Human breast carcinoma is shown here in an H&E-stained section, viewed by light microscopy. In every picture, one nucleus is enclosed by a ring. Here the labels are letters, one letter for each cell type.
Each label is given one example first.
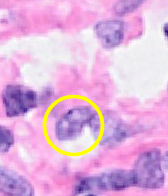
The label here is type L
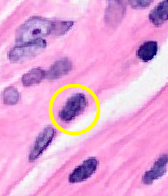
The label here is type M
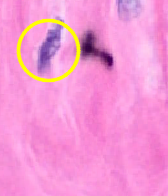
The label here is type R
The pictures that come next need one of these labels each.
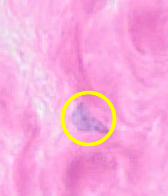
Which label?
type R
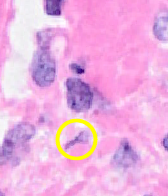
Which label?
type R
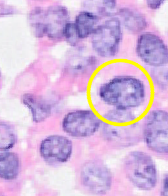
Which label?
type L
